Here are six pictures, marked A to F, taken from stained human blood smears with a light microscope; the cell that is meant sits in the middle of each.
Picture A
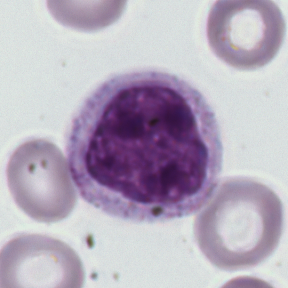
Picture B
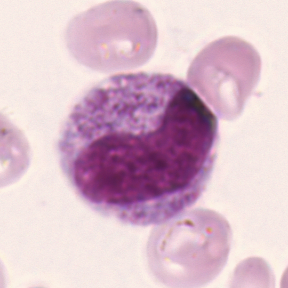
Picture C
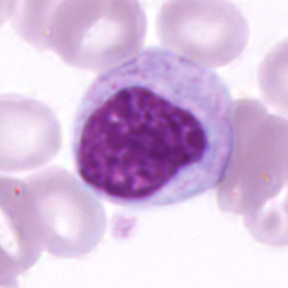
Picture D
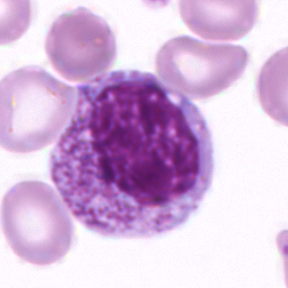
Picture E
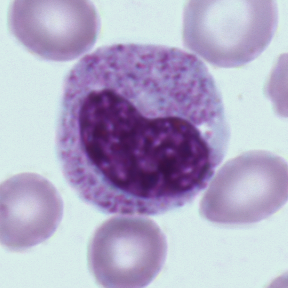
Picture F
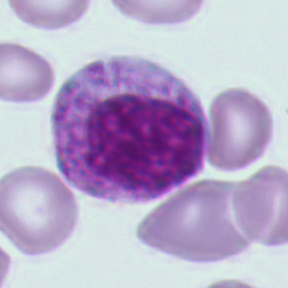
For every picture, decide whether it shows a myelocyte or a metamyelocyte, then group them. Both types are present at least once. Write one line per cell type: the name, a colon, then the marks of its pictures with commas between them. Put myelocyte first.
myelocyte: D, F
metamyelocyte: A, B, C, E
